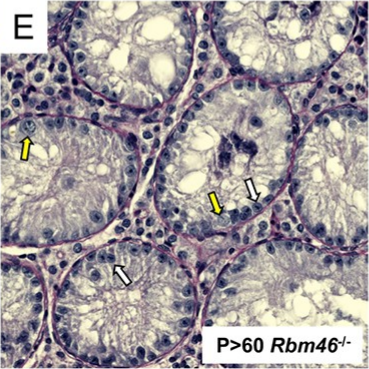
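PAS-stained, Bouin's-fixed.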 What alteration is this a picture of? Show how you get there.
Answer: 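Each tubule is lined by only one row of nuclei along its wall. The tubule centres hold pale, vacuolated material rather than layers of cells. That points to this answer: a single cellular layer.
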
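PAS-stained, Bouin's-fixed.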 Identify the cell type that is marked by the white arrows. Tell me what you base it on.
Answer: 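Sertoli cells. The arrowed nuclei sit inside the tubule in its only cell layer.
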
